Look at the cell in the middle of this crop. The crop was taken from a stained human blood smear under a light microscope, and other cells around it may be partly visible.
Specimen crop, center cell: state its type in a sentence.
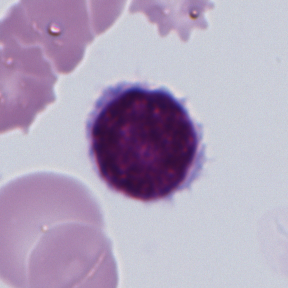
In the middle of this smear crop, the cell is a hairy cell.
